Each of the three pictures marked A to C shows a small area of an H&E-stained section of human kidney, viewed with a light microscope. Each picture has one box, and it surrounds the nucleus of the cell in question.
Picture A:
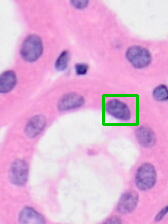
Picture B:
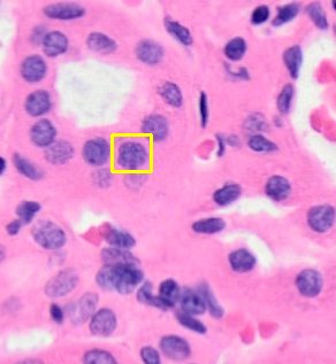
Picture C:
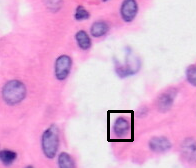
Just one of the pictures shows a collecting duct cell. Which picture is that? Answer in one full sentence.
Picture B shows the collecting duct cell.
